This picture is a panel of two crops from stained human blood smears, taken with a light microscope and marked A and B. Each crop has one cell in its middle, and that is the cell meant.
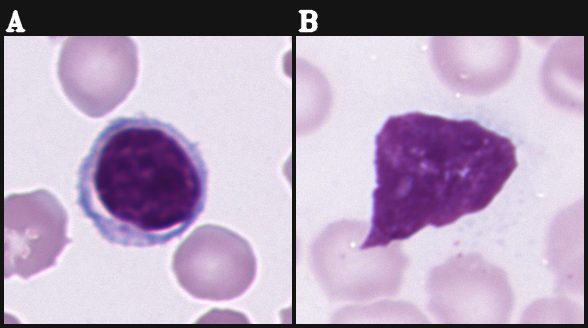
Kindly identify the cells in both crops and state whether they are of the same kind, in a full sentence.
No, crop A shows a typical lymphocyte, and it is crop B that shows a smudge cell.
